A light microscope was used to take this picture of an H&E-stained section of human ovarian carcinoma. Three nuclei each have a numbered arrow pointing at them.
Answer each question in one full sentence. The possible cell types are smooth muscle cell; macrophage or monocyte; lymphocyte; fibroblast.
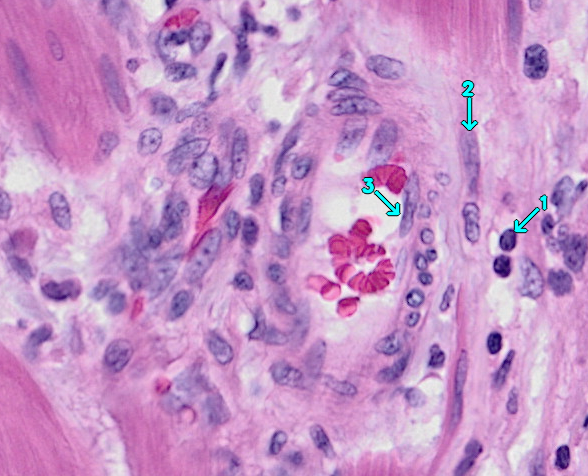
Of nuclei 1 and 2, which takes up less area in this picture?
The smaller nucleus is 1, and 2 covers roughly 2 times its area.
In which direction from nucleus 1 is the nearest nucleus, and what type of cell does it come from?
Just below nucleus 1 lies the nearest nucleus, which belongs to a lymphocyte.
